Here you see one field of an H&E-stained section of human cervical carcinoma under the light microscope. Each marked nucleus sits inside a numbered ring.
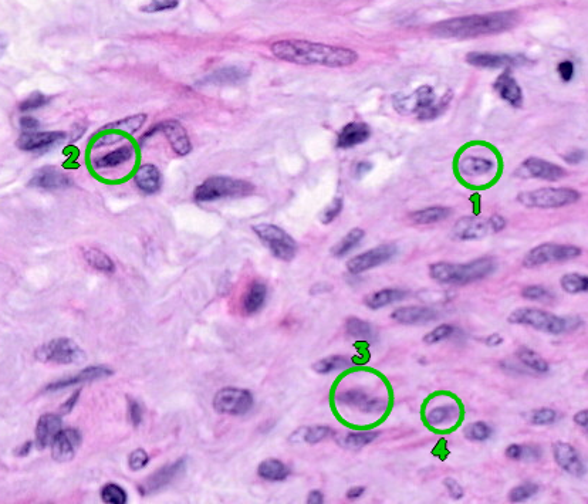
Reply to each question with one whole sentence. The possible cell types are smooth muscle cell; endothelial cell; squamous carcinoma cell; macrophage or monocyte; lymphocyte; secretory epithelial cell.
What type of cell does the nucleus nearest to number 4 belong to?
It is a smooth muscle cell whose nucleus is nearest to number 4.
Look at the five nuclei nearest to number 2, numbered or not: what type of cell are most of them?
The majority of the five nuclei closest to number 2 belong to smooth muscle cells.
